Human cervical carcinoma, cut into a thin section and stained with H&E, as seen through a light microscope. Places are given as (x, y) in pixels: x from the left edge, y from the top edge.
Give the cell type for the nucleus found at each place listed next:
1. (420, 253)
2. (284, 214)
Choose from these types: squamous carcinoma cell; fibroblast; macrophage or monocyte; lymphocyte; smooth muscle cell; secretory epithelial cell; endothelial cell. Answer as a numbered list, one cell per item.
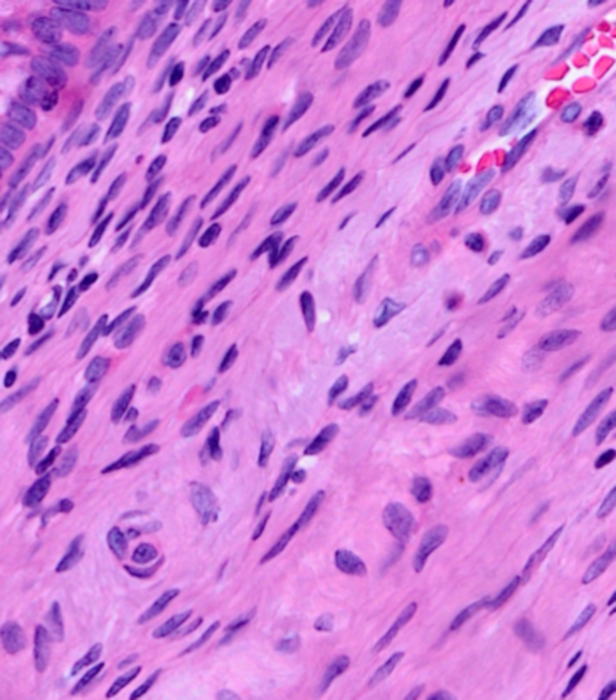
1. smooth muscle cell
2. fibroblast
